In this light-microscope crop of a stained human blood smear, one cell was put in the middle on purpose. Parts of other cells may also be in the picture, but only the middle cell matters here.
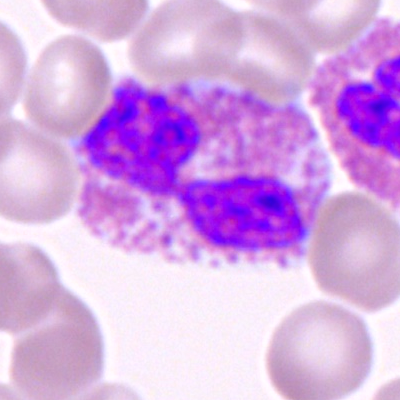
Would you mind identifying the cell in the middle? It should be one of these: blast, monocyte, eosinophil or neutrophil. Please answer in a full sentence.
Answering briefly, the cell in the middle is an eosinophil.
